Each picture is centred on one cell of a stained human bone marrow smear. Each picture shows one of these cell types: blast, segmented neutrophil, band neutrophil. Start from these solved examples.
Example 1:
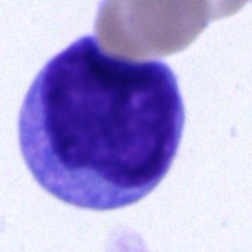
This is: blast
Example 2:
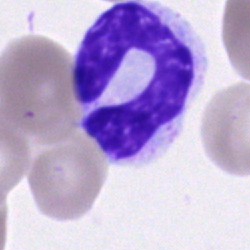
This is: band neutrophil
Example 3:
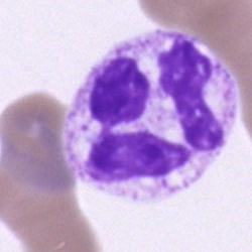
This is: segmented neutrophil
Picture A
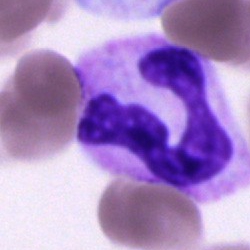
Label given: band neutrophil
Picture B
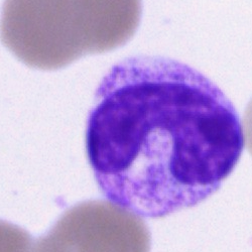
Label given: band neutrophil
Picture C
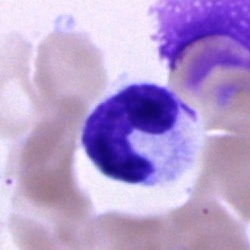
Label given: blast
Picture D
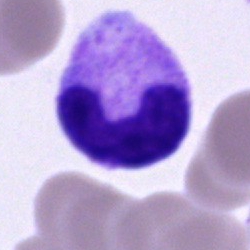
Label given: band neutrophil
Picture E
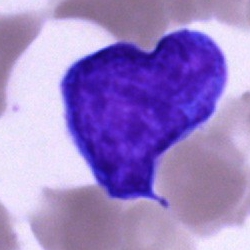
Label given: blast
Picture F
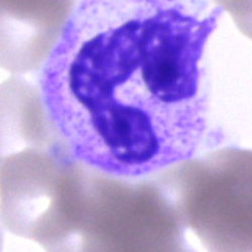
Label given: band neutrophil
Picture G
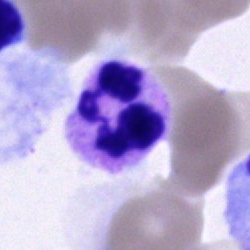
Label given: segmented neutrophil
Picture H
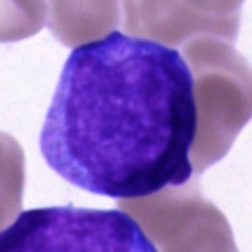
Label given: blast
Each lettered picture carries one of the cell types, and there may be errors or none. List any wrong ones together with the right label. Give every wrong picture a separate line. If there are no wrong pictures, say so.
C is labelled blast; correct label: band neutrophil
